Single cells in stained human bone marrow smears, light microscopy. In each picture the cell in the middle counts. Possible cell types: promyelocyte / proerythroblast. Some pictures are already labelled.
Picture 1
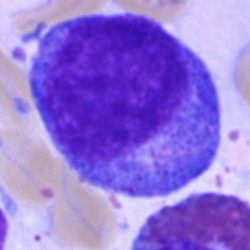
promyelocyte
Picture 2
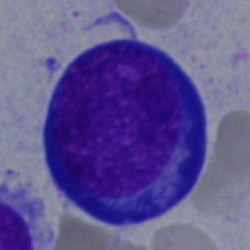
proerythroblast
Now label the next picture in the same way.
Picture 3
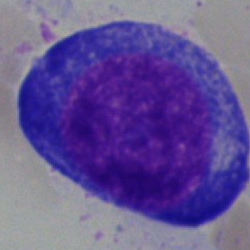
proerythroblast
